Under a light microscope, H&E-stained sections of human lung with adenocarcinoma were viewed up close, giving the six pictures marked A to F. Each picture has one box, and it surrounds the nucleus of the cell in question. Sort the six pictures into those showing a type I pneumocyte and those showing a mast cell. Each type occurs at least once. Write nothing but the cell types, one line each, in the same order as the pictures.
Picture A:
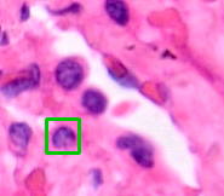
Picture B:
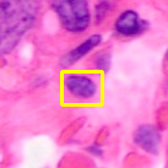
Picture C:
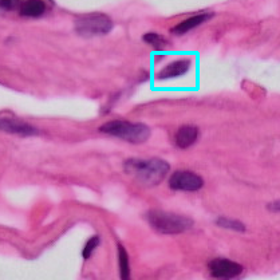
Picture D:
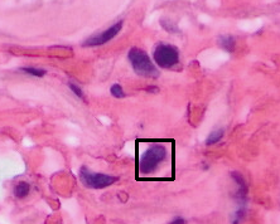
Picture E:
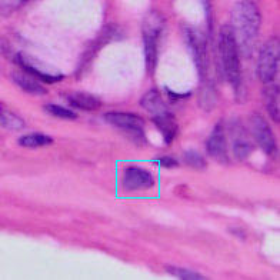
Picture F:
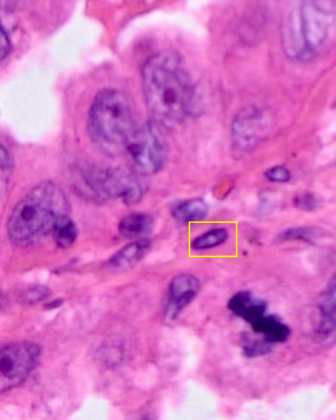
mast cell
mast cell
type I pneumocyte
type I pneumocyte
mast cell
mast cell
